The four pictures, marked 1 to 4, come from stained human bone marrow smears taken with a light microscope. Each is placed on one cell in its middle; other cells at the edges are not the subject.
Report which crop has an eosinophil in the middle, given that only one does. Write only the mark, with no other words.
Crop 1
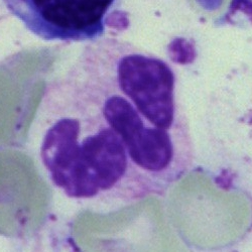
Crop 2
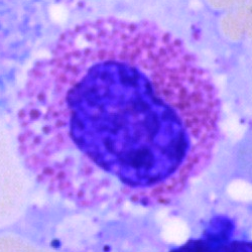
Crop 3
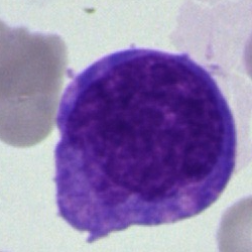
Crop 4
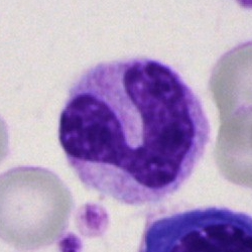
2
